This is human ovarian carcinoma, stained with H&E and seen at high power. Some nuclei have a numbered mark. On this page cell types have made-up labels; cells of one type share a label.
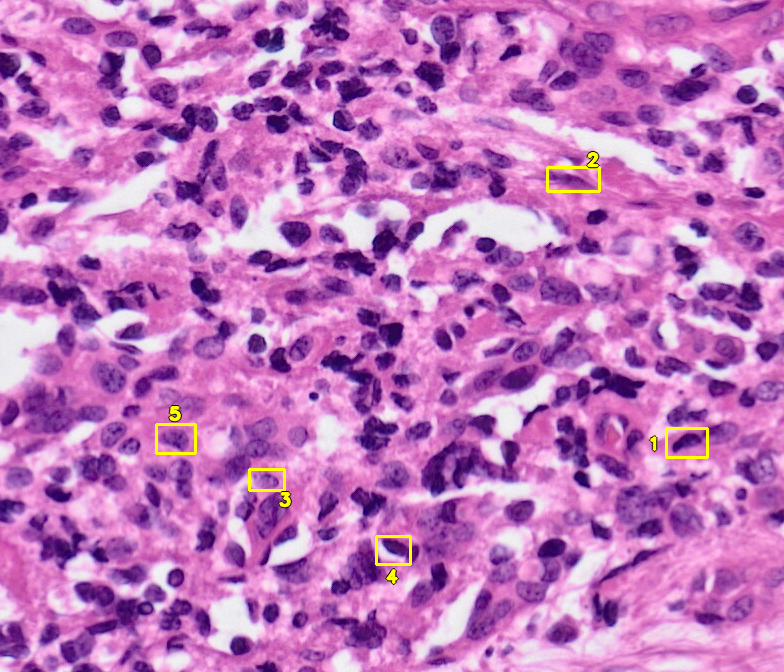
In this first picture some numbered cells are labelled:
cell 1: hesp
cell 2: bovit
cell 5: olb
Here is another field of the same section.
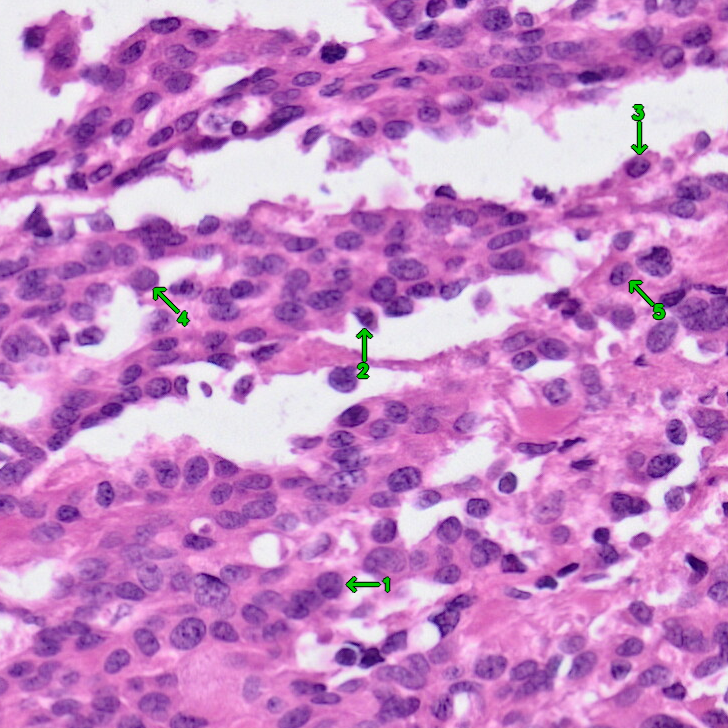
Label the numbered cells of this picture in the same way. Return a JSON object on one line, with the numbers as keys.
{"1": "hesp", "2": "hesp", "3": "olb", "4": "hesp", "5": "olb"}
